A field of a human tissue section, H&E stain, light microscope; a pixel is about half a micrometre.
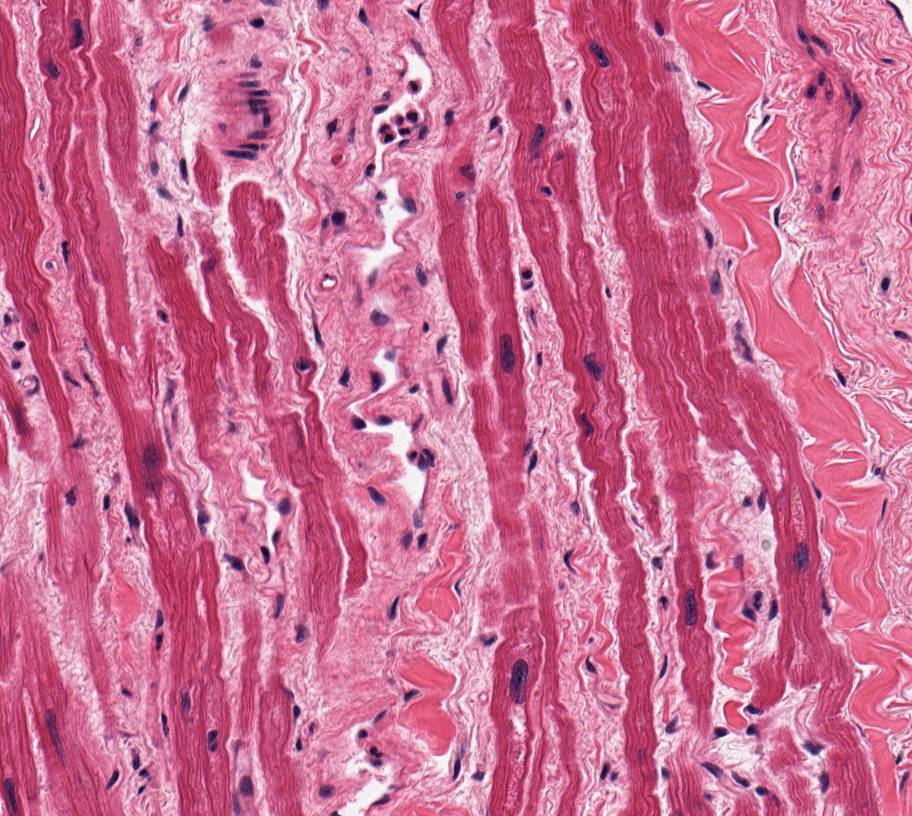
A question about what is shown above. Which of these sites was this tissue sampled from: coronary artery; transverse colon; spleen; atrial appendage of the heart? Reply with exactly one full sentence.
Tissue was sampled from the atrial appendage of the heart for this slide.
